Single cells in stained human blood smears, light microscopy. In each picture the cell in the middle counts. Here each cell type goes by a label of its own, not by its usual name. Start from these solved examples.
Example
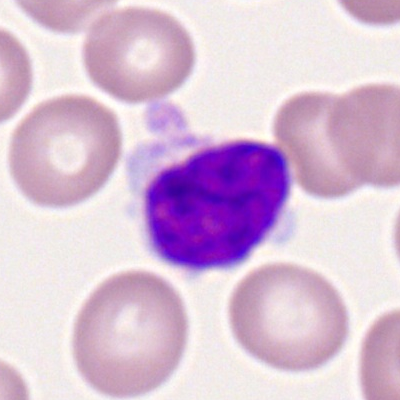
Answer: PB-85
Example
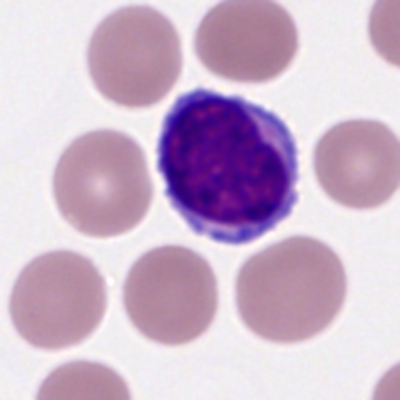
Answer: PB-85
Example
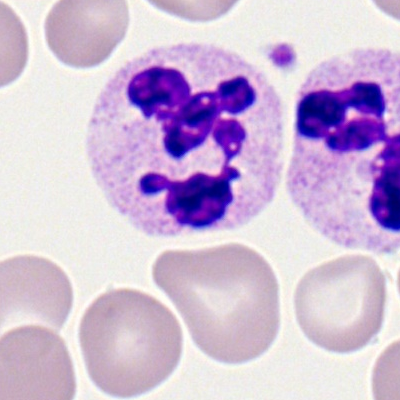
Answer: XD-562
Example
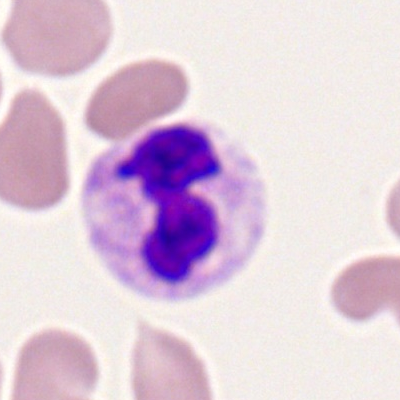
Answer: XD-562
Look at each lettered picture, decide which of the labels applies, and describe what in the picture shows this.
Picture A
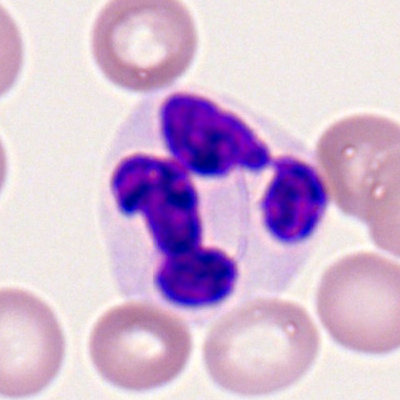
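XD-562. Reason: The nucleus is divided into more than two separate lobes.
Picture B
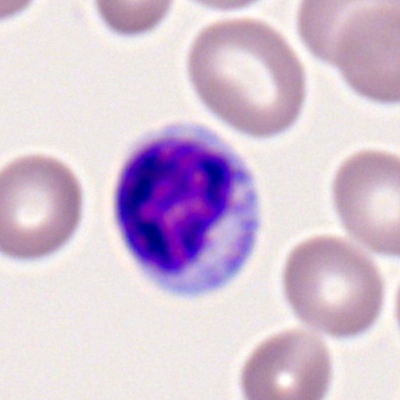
PB-85. Reason: The nucleus fills most of the cell and sits towards the left side.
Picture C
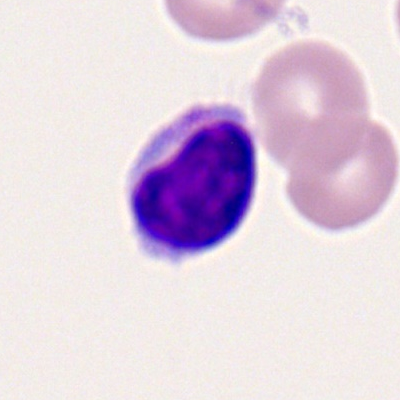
PB-85. Reason: The cytoplasm is a thin rim that is widest along the upper-left side of the nucleus.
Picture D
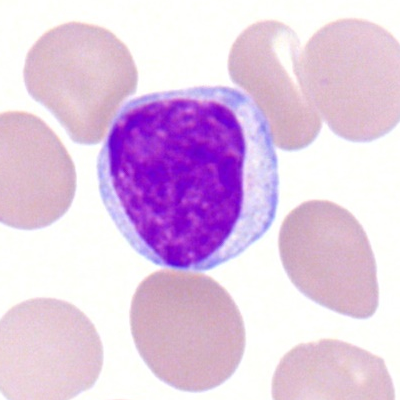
PB-85. Reason: The nucleus fills most of the cell.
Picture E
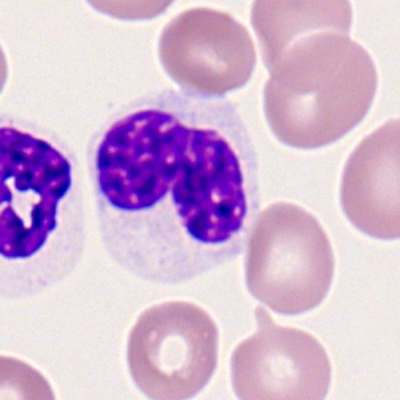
XD-562. Reason: The cytoplasm is plentiful and pale greyish-lilac, widest below the nucleus.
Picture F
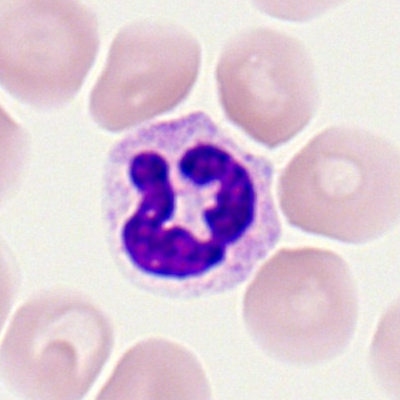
XD-562. Reason: The cytoplasm is abundant and pale pinkish-lilac.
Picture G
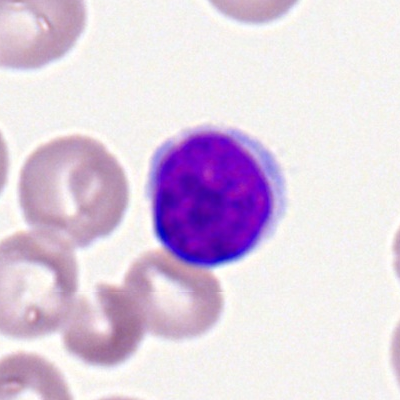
PB-85. Reason: The cytoplasm forms only a thin rim around the nucleus.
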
